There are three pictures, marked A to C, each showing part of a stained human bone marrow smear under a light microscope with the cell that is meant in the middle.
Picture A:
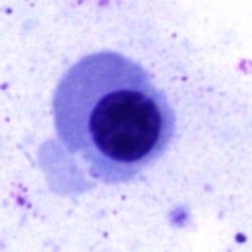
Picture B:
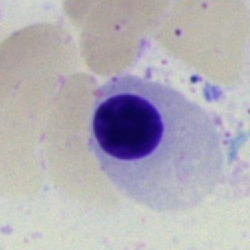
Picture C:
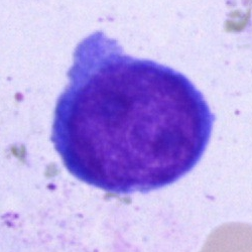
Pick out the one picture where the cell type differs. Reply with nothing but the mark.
C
